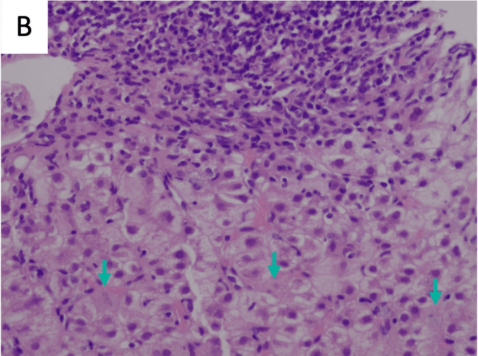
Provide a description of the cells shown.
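This is liver parenchyma beneath a band of inflammatory cells, showing small foci of hepatocyte loss. The top of the field is crowded with small cells with dark round nuclei. Below, hepatocytes form the bulk of the tissue; they are large and polygonal, with abundant pale pink to cleared cytoplasm and round nuclei, many appearing swollen. Scattered among them are small, irregular pink foci where hepatocyte outlines are lost and only pink material and a few cells remain. A vessel lumen lies at the upper left edge.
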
